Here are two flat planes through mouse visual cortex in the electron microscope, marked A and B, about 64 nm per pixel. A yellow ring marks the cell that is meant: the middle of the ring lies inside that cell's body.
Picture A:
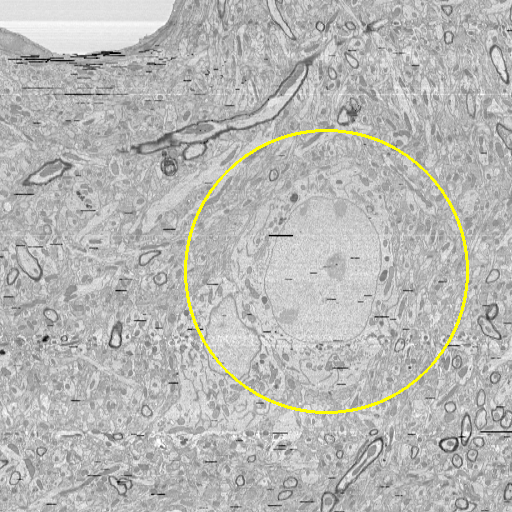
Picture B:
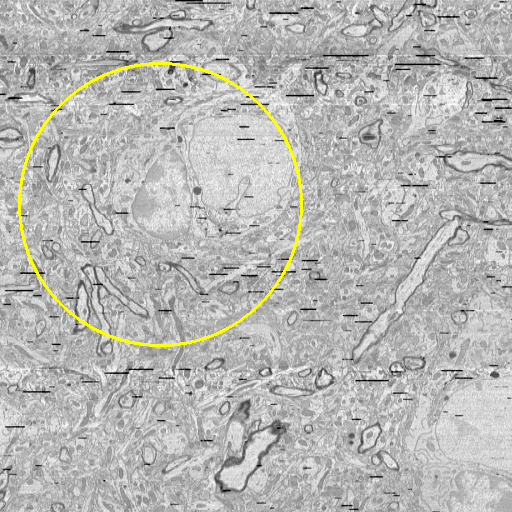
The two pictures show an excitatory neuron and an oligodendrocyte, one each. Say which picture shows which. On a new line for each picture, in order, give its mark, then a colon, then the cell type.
A: excitatory neuron
B: oligodendrocyte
